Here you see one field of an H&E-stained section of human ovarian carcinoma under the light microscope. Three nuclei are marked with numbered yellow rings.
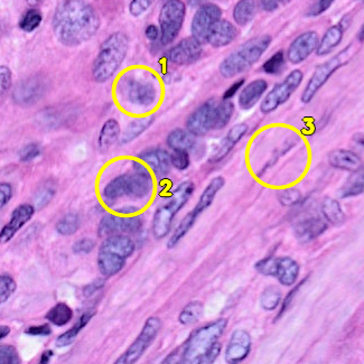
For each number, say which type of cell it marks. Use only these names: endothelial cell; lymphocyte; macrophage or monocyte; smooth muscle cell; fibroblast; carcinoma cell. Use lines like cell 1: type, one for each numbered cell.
cell 1: fibroblast
cell 2: carcinoma cell
cell 3: fibroblast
